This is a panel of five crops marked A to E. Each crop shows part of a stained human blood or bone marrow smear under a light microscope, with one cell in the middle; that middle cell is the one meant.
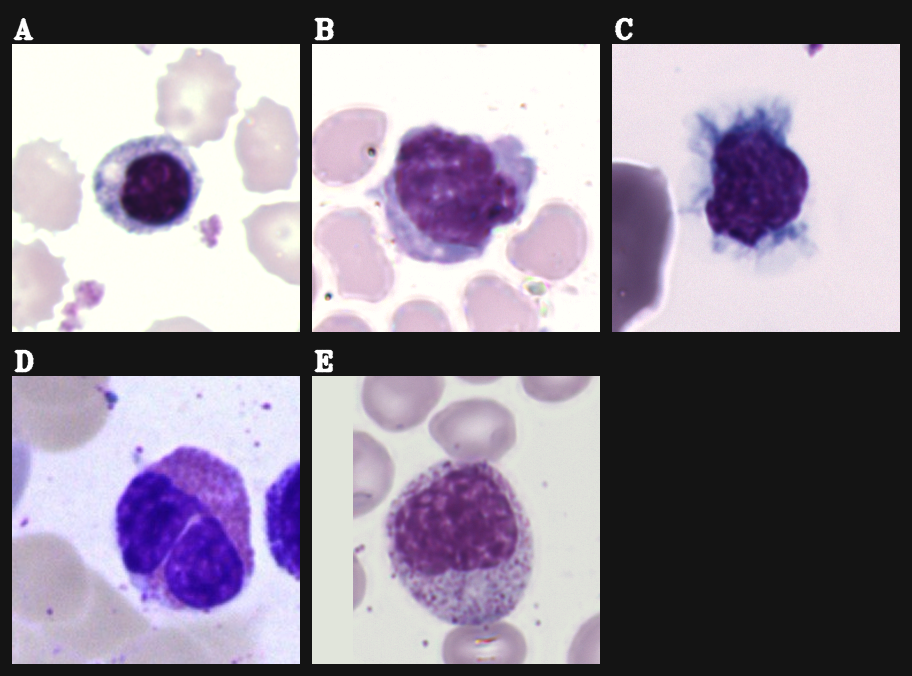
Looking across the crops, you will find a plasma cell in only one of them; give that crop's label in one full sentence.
It is in crop B, among all the crops, that a plasma cell is present.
